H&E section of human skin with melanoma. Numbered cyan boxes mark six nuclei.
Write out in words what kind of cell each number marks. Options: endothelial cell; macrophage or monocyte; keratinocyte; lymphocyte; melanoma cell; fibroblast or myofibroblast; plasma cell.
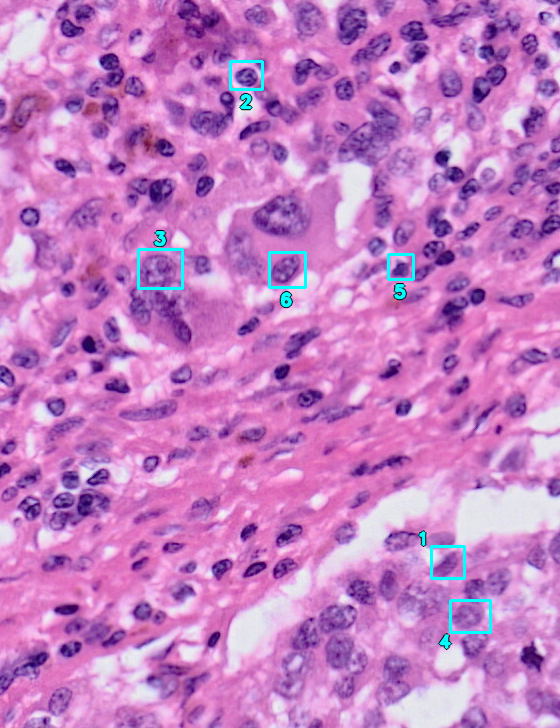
Cells 1, 3, 4 and 6 are melanoma cells. Cells 2 and 5 are lymphocytes.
